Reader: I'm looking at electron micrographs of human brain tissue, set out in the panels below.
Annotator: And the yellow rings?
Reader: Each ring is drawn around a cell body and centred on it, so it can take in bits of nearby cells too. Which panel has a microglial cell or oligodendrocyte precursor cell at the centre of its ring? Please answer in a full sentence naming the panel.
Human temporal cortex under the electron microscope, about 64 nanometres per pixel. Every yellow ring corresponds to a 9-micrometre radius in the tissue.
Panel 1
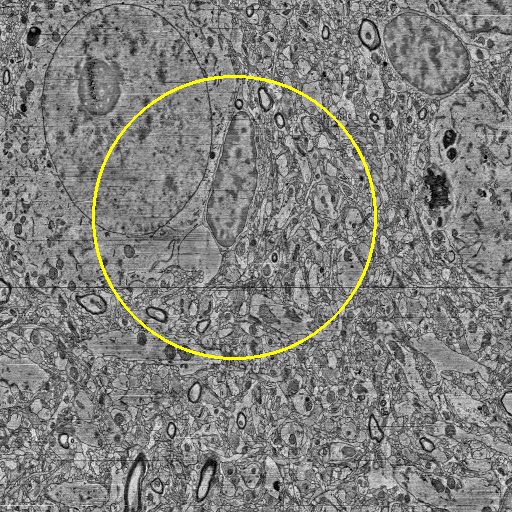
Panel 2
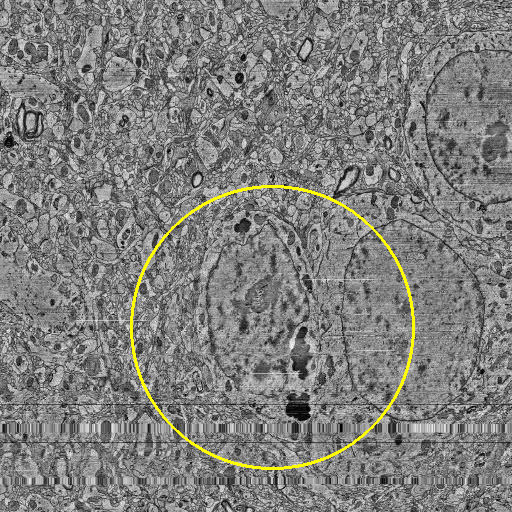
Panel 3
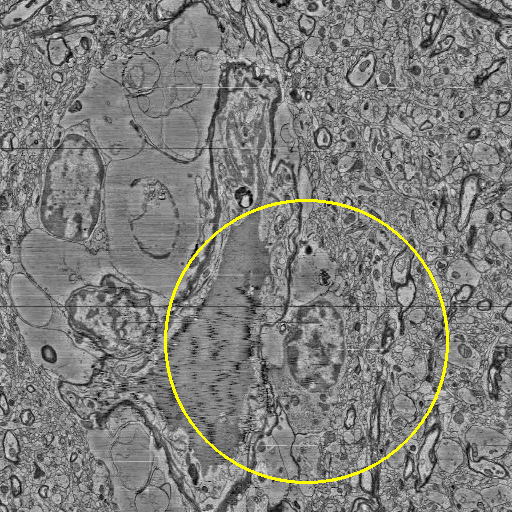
Panel 1 has it at the centre of its ring.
